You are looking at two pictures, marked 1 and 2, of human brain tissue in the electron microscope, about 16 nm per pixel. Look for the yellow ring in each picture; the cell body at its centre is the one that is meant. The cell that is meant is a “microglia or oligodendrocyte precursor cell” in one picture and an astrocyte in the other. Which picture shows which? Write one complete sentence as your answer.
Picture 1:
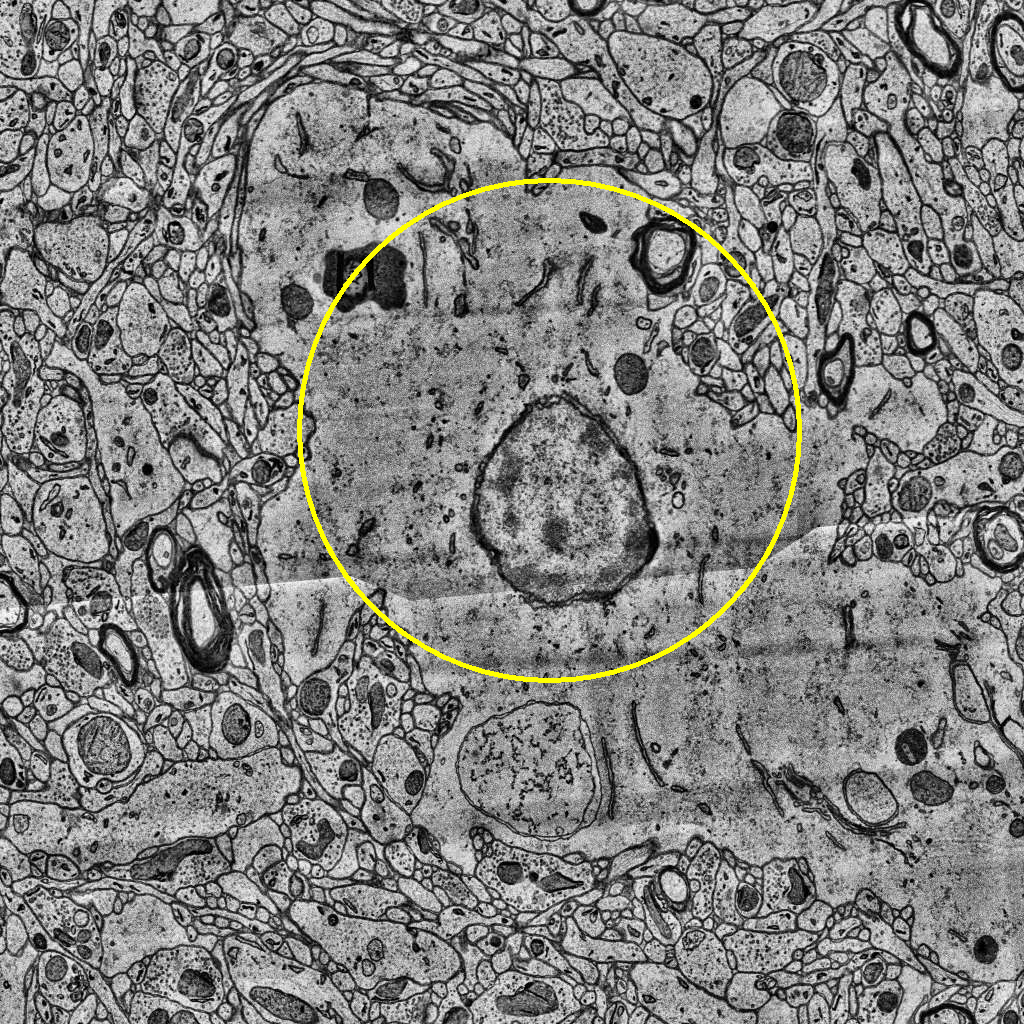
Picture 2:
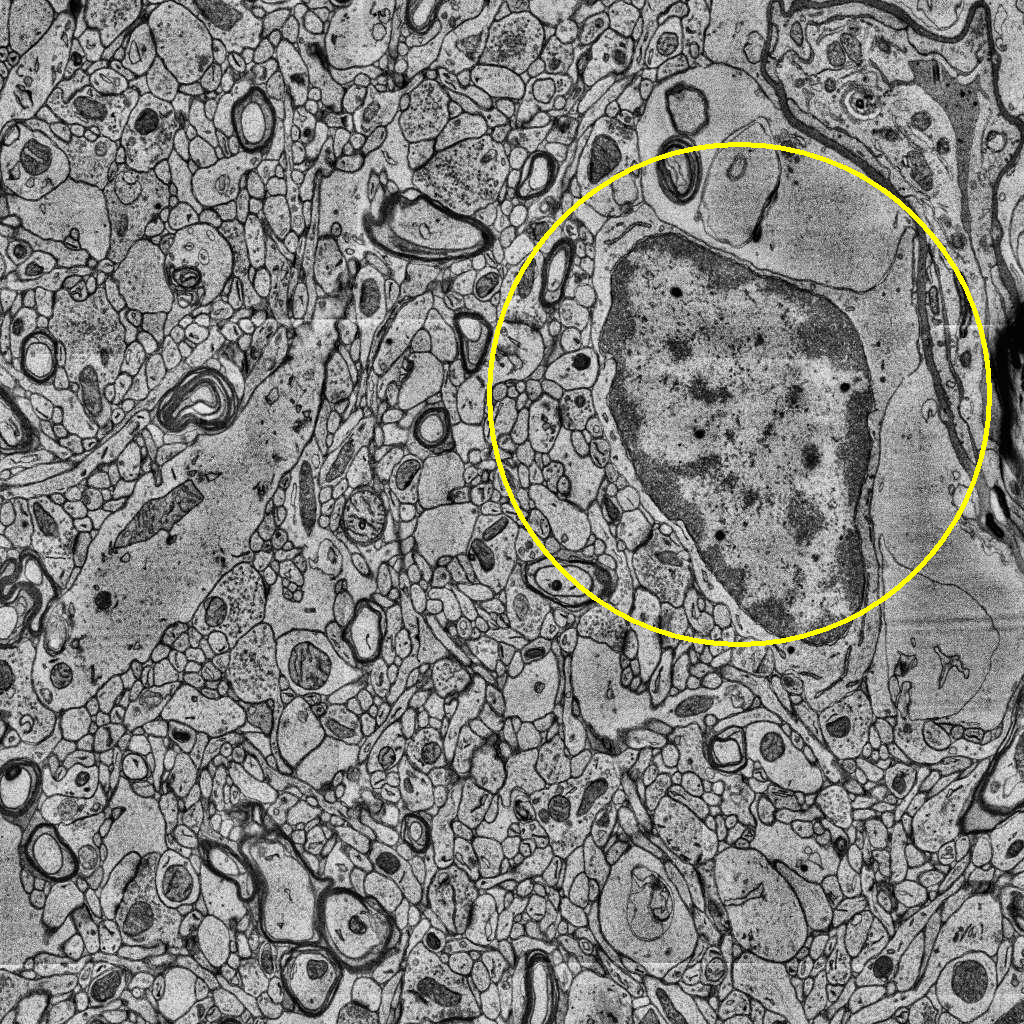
It is picture 1 that shows an astrocyte, and picture 2 that shows a “microglia or oligodendrocyte precursor cell”.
